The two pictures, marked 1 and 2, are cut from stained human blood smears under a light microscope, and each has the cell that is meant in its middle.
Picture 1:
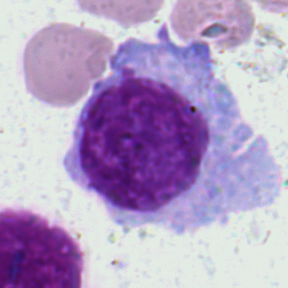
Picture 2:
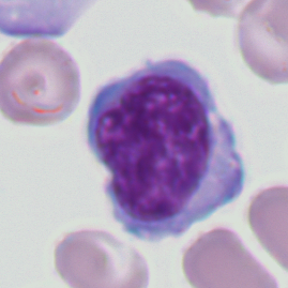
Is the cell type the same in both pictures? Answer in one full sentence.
Yes, both are plasma cells.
